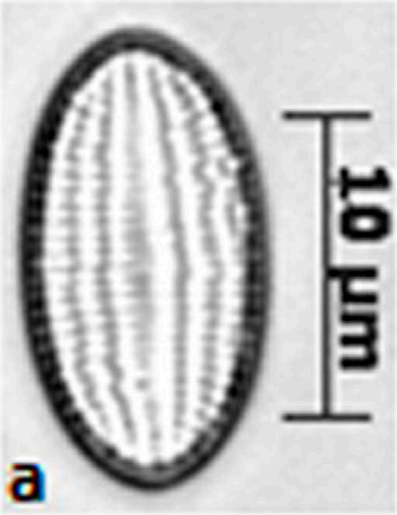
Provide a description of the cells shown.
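Here we look at a single diatom frustule, the glassy silica wall of the cell, seen face-on as one valve. Its outline is a smooth, regular ellipse with both ends evenly rounded, bordered by a thick dark rim. Down the middle runs a narrow axial line, slightly widened at the centre. From it, fine rows of small dots, the striae, run across the valve towards the rim on both sides, evenly spaced and roughly parallel, giving a ladder-like pattern. A few lengthwise lines cross these rows. No cell contents remain; only the patterned wall is seen.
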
